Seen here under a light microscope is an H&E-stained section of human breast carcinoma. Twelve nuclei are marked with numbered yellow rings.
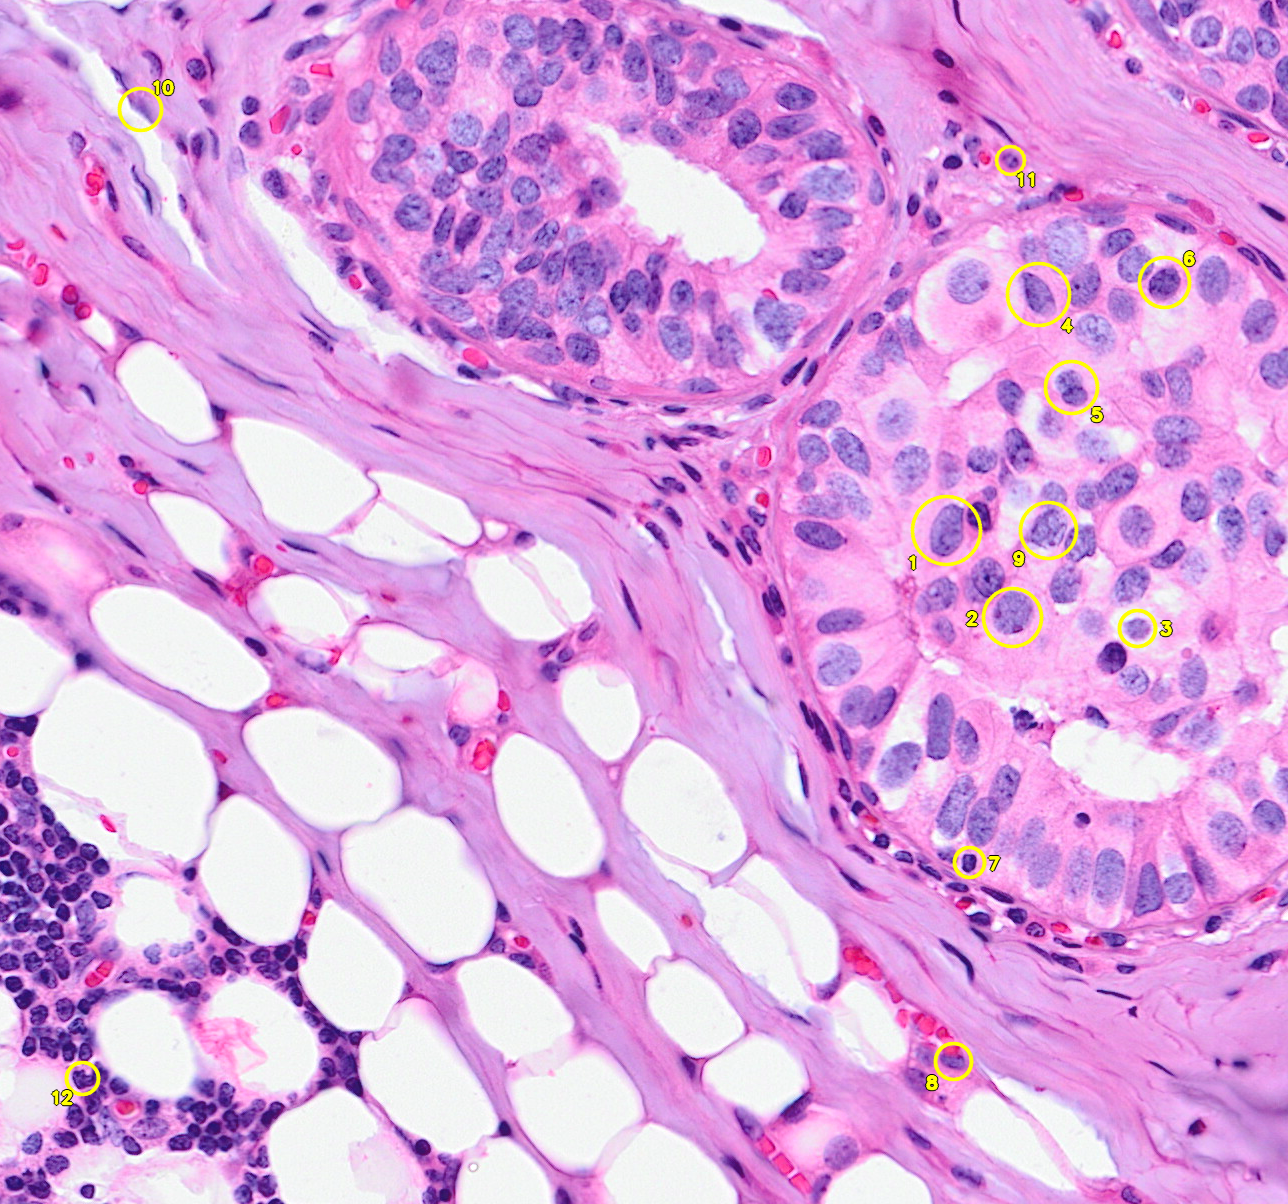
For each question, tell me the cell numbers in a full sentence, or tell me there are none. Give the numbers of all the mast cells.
The numbered cell that is a mast cell is cell 11, and it is the only one.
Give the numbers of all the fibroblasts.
Only the cell with number 10 is a fibroblast.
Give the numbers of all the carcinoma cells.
The cells that the numbers 1, 2, 3, 4, 5, 6 and 9 belong to are carcinoma cells.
